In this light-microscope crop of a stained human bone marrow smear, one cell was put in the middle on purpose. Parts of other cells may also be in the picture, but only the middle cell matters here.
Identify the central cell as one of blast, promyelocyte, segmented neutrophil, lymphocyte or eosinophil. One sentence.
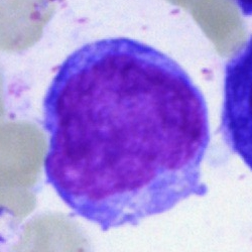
In the center of this field lies a blast.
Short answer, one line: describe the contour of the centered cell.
The edge is uneven, and this unevenness takes the form of ragged stretches or projections.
